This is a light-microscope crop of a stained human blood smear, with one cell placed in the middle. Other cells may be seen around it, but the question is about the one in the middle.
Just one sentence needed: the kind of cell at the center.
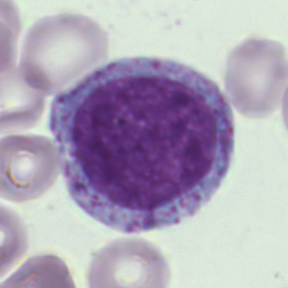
This particular crop is centered on a promyelocyte.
